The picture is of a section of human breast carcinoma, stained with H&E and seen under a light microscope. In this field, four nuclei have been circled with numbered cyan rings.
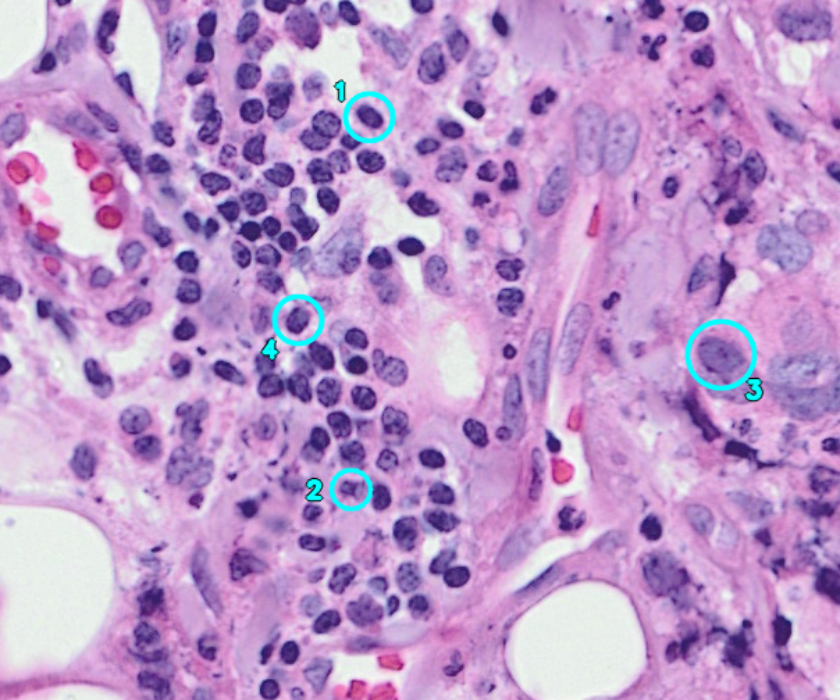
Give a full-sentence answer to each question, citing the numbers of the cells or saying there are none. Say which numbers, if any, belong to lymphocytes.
The cells with the number labels 1, 2 and 4 are lymphocytes.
